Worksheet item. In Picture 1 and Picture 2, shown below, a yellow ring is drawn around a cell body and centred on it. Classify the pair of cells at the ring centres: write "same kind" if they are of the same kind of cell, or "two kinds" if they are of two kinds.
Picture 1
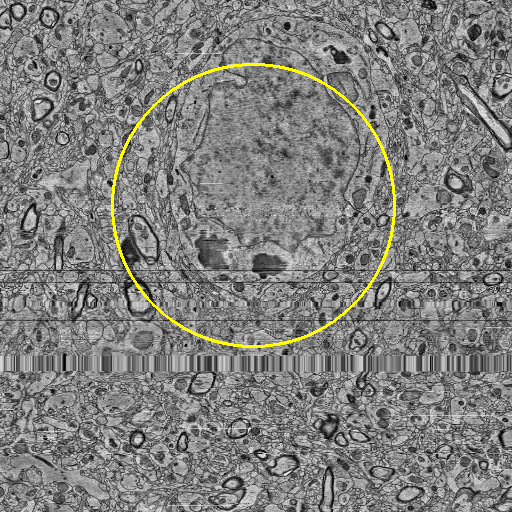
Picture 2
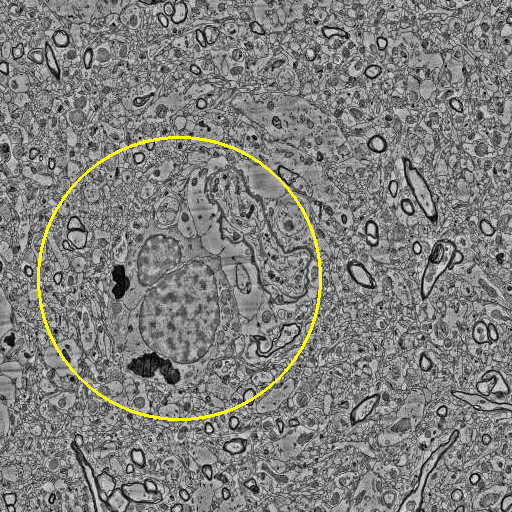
two kinds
